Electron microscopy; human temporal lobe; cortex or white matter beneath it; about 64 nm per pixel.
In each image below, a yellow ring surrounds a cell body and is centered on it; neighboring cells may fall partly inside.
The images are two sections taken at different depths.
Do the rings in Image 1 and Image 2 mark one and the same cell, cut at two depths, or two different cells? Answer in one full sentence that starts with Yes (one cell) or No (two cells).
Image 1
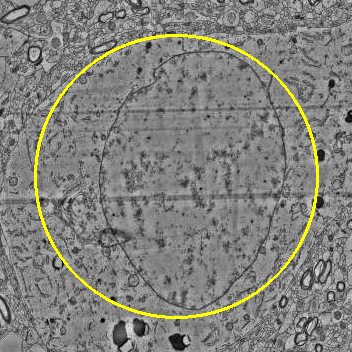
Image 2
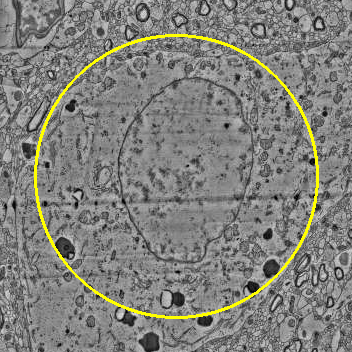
Yes, both rings are placed on a single cell.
